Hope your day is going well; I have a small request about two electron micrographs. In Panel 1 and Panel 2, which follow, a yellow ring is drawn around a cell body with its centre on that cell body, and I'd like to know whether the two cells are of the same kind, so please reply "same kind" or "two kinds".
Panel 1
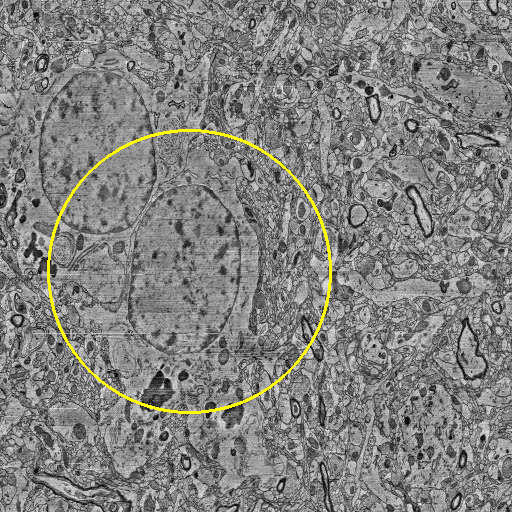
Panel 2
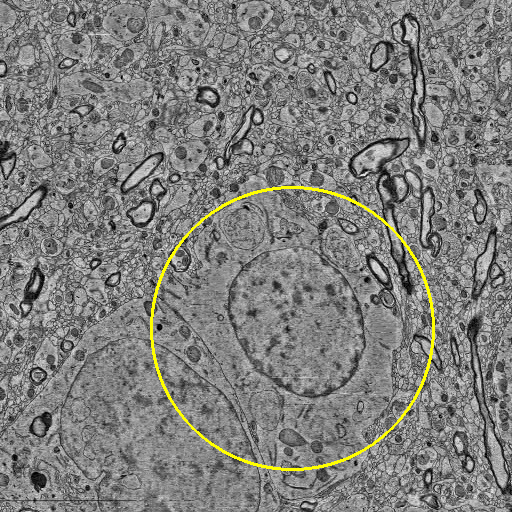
same kind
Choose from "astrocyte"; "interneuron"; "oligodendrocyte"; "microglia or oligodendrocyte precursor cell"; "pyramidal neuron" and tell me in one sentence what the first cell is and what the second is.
Each cell, in the first picture and the second, is an astrocyte.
